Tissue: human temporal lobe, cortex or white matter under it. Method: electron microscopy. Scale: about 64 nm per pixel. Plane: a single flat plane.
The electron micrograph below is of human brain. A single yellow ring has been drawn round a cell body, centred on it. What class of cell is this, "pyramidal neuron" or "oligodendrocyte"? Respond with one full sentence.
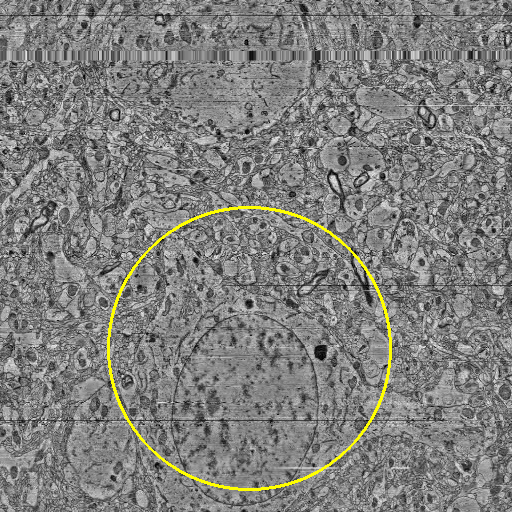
In the micrograph, the cell centred inside the yellow ring is a pyramidal neuron.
